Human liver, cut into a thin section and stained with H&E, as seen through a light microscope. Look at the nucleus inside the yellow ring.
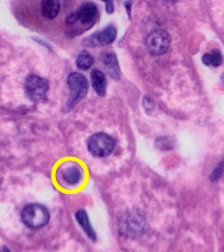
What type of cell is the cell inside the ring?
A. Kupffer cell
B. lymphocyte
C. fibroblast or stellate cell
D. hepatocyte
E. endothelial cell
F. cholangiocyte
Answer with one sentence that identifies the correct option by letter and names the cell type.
Option B is correct in that the cell inside the ring is a lymphocyte.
